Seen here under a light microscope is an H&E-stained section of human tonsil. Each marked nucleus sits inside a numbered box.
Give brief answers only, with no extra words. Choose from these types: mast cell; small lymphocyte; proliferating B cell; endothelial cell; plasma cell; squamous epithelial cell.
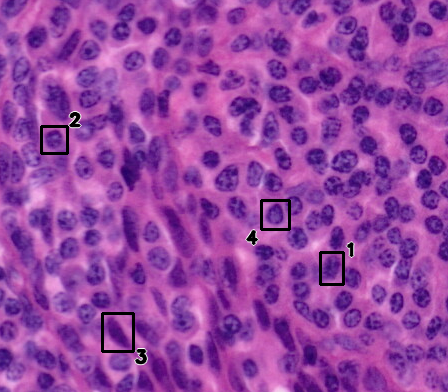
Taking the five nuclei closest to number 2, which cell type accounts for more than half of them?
squamous epithelial cell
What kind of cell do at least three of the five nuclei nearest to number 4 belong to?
plasma cell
